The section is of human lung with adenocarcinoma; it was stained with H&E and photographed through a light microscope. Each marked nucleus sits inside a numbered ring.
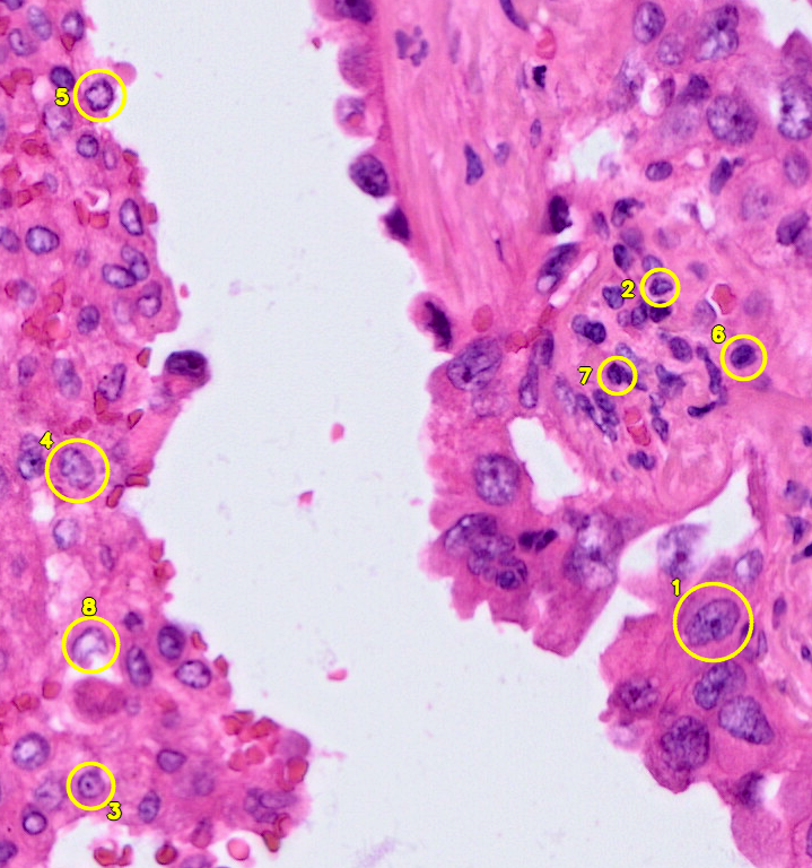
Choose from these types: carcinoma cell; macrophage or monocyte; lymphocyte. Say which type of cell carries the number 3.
macrophage or monocyte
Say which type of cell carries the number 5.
macrophage or monocyte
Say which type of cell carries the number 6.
lymphocyte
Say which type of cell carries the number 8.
macrophage or monocyte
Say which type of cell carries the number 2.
lymphocyte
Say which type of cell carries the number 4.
macrophage or monocyte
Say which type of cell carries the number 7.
lymphocyte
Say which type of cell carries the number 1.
carcinoma cell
